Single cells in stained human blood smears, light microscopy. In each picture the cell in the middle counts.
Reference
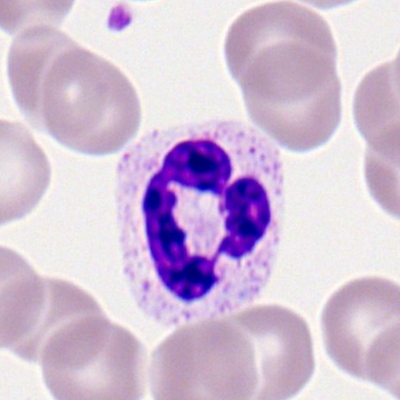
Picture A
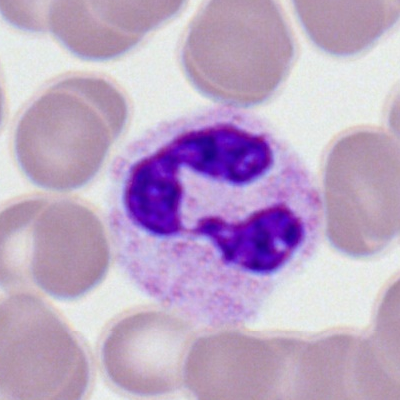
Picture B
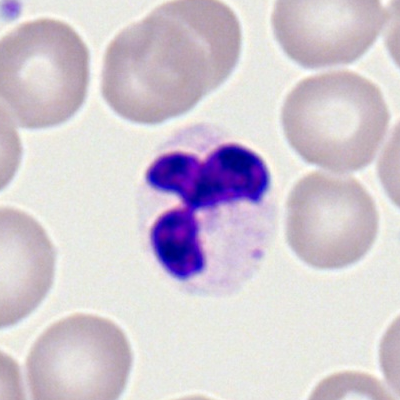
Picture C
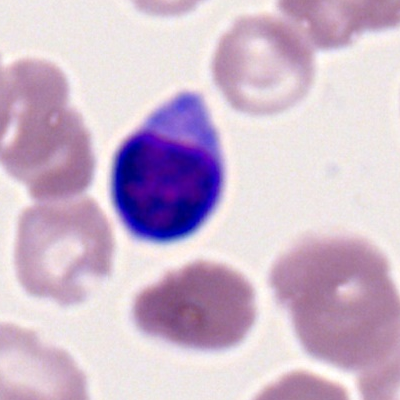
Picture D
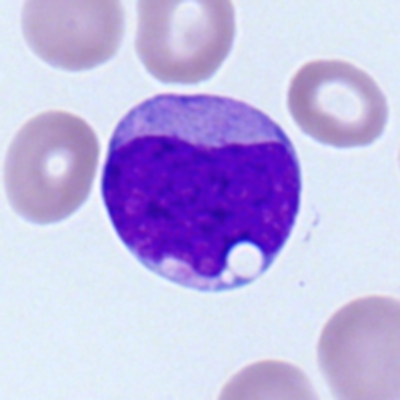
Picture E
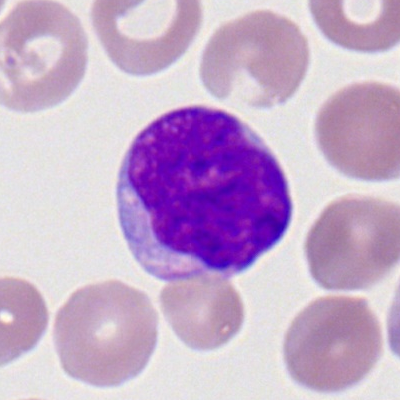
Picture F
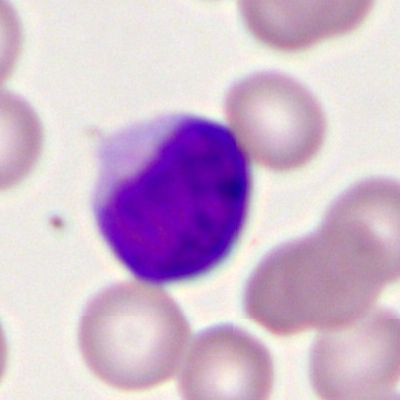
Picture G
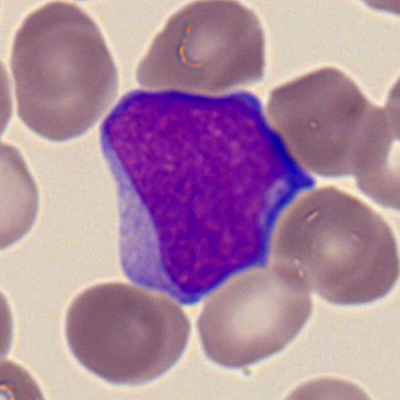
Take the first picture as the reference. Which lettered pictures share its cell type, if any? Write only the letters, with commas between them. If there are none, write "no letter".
A, B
